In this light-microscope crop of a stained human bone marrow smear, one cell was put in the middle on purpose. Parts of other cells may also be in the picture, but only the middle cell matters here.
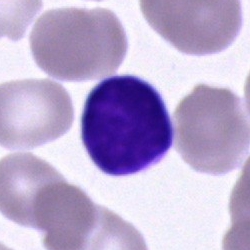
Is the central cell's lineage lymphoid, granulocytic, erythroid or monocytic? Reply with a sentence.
Of lymphoid lineage is the cell at the center of the crop.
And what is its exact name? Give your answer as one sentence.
In this crop, the cell at the very middle is a lymphocyte.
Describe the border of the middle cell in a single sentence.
There are no projections here; the outline is simply smooth.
